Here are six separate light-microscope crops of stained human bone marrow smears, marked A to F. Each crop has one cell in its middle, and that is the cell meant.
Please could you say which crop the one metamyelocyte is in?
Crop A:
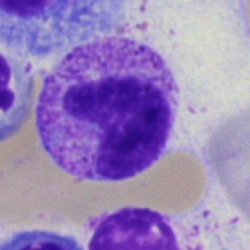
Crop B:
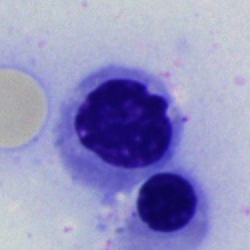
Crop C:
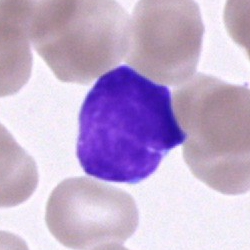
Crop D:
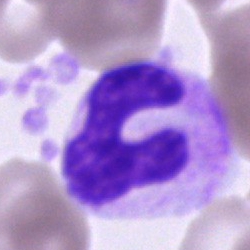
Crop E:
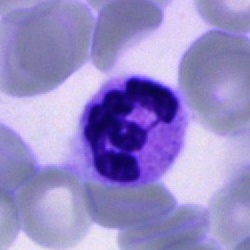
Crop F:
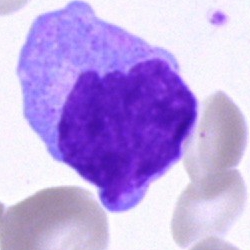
A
